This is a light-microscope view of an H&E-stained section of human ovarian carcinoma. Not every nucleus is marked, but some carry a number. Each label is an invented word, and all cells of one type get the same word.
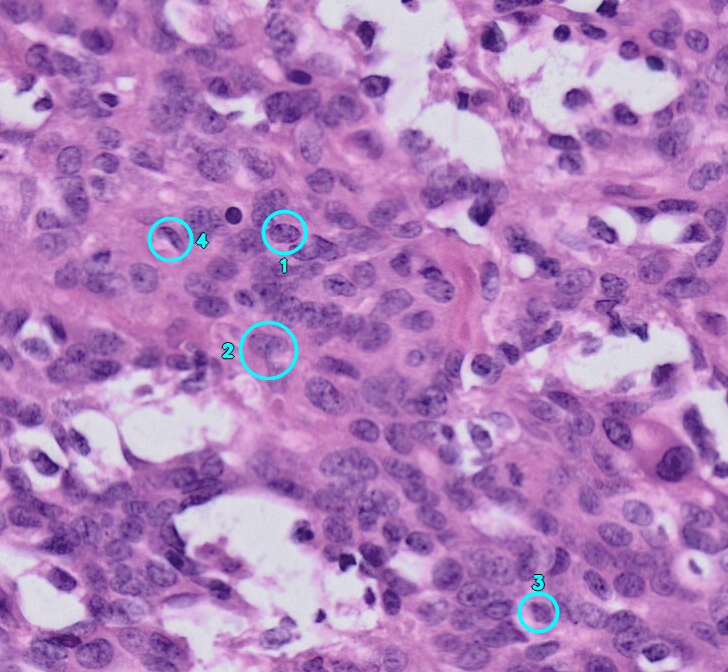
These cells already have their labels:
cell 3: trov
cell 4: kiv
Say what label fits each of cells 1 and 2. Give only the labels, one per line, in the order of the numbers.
trov
kiv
